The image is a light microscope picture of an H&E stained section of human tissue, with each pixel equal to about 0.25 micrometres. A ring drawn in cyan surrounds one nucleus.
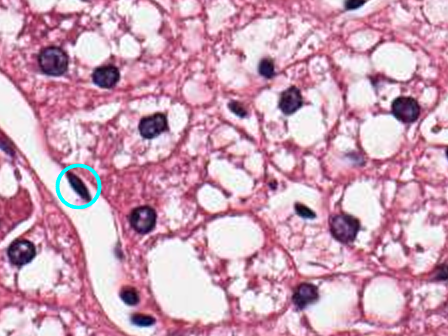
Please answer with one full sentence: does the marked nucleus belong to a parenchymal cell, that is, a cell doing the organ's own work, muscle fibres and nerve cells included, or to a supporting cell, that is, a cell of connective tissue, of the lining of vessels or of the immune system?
In this field of view, a supporting cell owns the marked nucleus.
